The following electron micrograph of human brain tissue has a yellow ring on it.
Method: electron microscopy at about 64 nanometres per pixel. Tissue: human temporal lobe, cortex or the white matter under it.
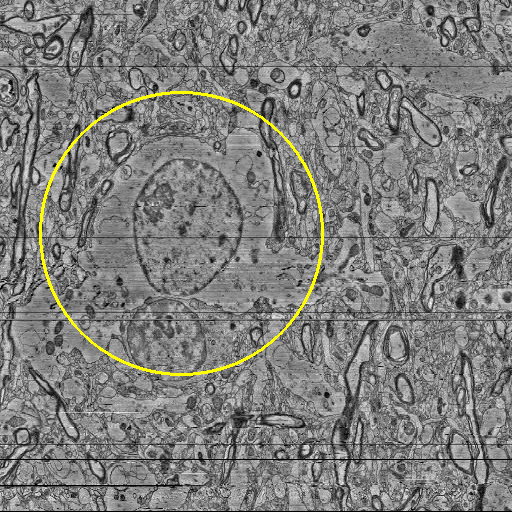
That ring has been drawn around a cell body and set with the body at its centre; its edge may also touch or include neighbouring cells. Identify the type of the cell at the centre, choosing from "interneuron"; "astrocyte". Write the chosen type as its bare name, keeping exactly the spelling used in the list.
astrocyte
